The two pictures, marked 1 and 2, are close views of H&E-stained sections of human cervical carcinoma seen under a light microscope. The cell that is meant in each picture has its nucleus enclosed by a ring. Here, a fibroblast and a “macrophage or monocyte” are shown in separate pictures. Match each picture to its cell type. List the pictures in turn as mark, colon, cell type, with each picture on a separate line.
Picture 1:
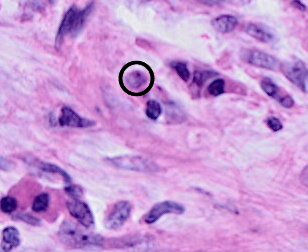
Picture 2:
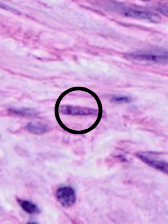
1: macrophage or monocyte
2: fibroblast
